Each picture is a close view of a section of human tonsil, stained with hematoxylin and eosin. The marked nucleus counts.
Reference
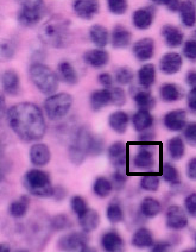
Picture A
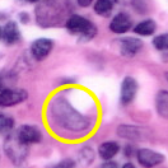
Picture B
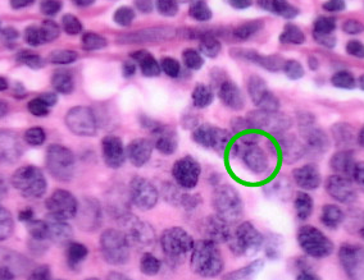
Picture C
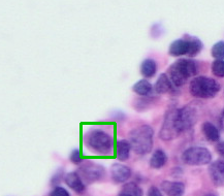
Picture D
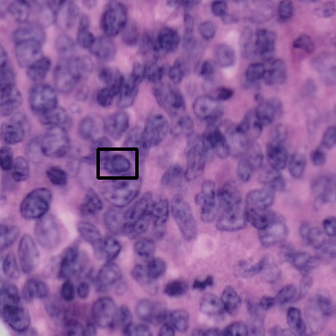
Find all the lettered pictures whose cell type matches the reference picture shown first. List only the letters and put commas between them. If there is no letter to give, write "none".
none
